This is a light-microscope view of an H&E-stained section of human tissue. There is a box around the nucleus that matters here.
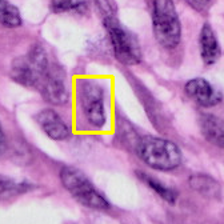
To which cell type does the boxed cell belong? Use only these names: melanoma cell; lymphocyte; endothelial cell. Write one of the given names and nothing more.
melanoma cell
